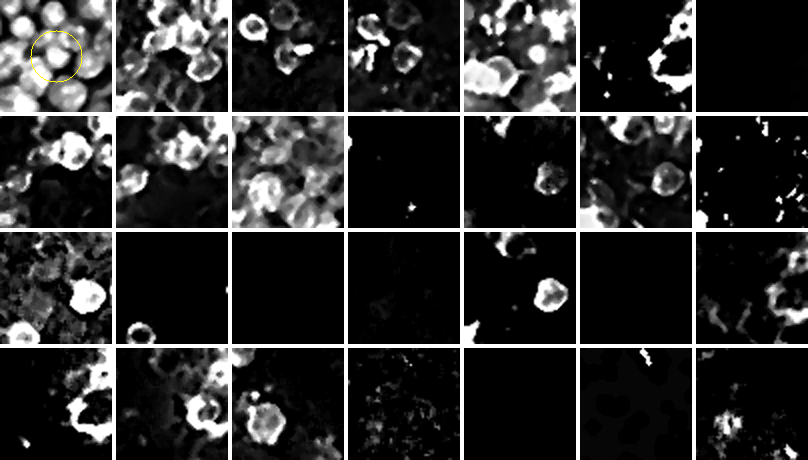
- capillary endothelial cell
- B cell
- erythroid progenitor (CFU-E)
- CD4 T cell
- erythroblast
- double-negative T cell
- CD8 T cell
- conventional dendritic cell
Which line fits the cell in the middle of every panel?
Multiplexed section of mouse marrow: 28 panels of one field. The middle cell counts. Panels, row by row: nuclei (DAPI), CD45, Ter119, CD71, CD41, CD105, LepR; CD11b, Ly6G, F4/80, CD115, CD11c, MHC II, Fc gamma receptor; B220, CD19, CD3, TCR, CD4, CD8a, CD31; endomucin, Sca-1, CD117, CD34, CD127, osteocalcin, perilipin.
erythroblast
